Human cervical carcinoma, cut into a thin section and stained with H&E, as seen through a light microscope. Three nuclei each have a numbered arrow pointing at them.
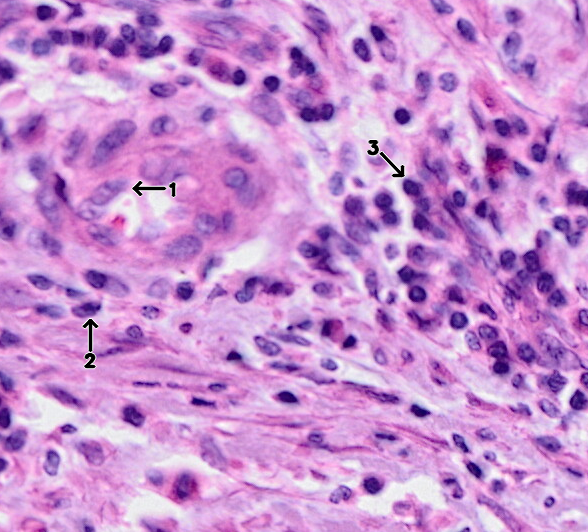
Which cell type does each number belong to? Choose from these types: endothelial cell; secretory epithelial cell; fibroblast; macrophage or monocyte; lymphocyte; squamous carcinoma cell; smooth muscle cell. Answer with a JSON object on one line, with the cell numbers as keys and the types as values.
{"1": "endothelial cell", "2": "lymphocyte", "3": "lymphocyte"}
